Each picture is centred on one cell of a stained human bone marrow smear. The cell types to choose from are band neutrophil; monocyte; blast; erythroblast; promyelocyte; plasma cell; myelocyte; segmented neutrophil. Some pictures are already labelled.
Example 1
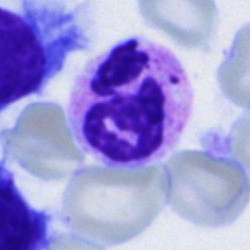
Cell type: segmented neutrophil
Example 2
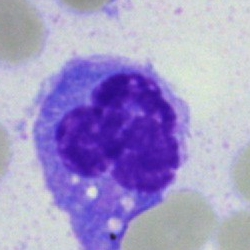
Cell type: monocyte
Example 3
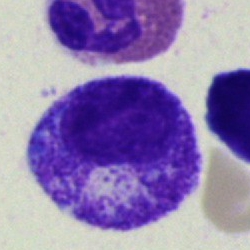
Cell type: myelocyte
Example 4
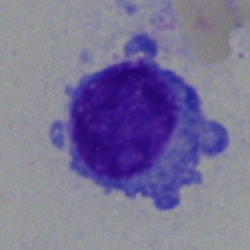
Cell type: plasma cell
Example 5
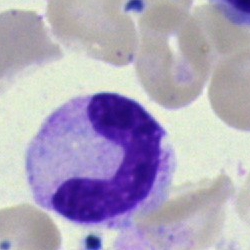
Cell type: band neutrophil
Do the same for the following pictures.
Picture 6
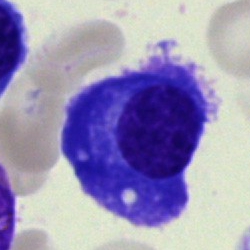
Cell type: plasma cell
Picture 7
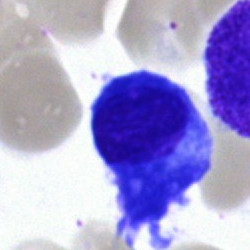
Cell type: plasma cell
